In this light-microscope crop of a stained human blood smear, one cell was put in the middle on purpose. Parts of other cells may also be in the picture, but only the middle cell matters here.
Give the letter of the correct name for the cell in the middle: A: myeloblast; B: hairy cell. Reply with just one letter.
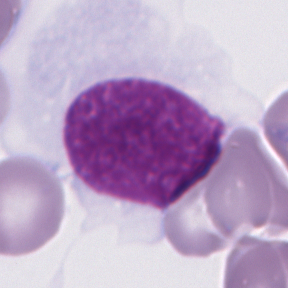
B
